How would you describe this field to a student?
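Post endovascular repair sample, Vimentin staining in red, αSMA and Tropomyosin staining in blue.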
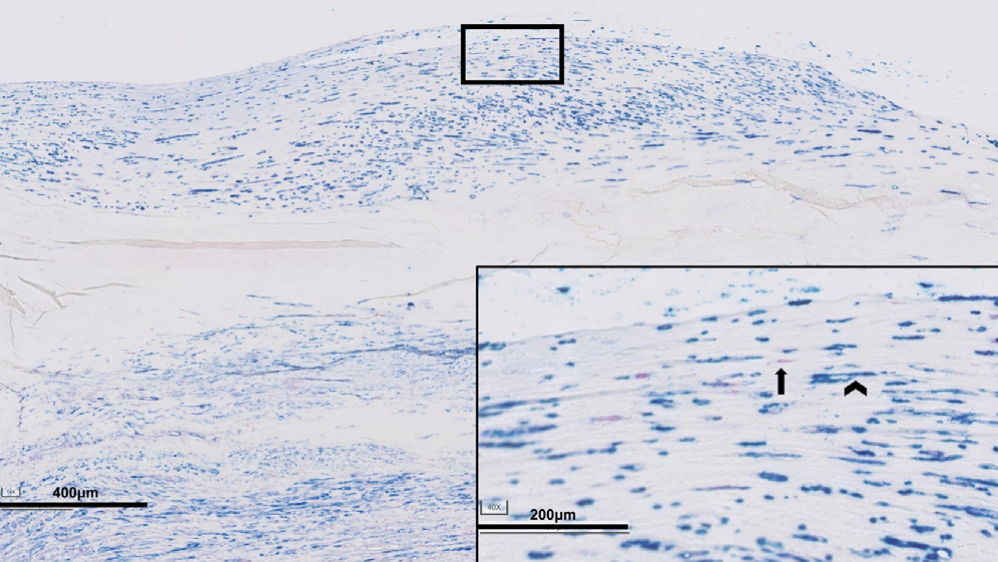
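At low magnification, the cells form a dense cellular band along the upper surface and looser bands below. These bands are separated by a pale, largely acellular fibrous zone with wavy clefts. The cells are stained blue. They are spindle-shaped and lie roughly parallel to one another, following the direction of the fibres. The inset at higher magnification shows these blue, elongated cells at close range. Between them lie a few single, slender cells stained pink-red. These are scattered sparsely among the far more numerous blue cells.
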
